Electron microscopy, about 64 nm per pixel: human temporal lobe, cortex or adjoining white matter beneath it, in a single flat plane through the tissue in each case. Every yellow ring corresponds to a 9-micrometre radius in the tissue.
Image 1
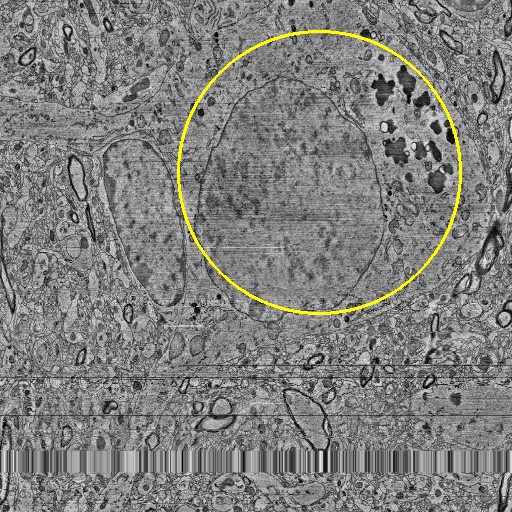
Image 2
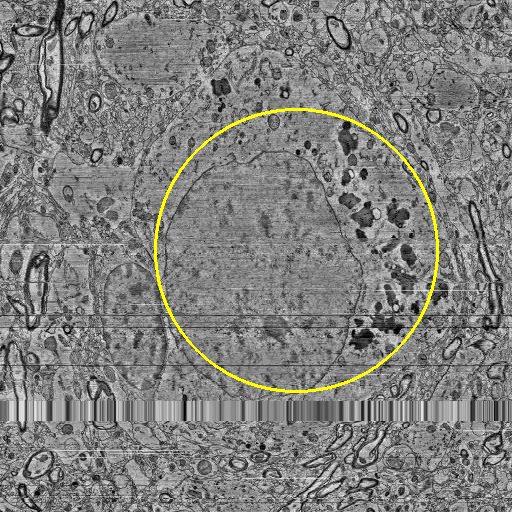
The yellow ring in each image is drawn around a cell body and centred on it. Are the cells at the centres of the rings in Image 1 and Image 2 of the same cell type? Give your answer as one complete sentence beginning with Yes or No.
Yes, both cells are of the same type.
